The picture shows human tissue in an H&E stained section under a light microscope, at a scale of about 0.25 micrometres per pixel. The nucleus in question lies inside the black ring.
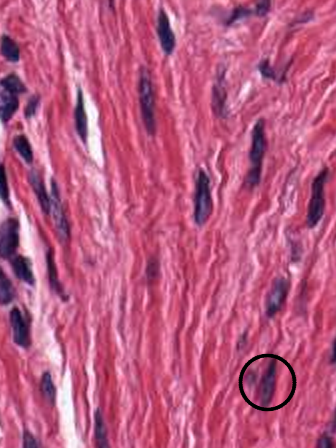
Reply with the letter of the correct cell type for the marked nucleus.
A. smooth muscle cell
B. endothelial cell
A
